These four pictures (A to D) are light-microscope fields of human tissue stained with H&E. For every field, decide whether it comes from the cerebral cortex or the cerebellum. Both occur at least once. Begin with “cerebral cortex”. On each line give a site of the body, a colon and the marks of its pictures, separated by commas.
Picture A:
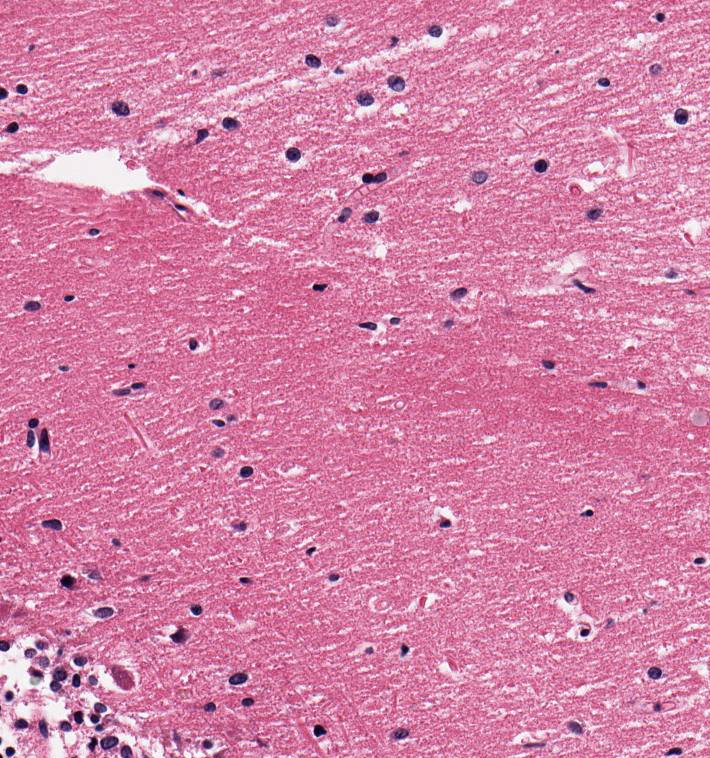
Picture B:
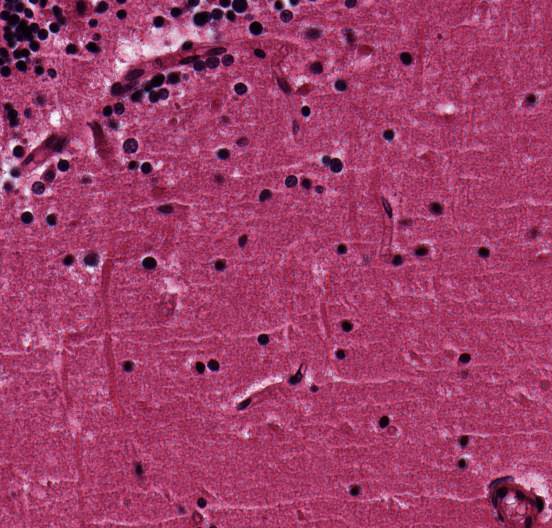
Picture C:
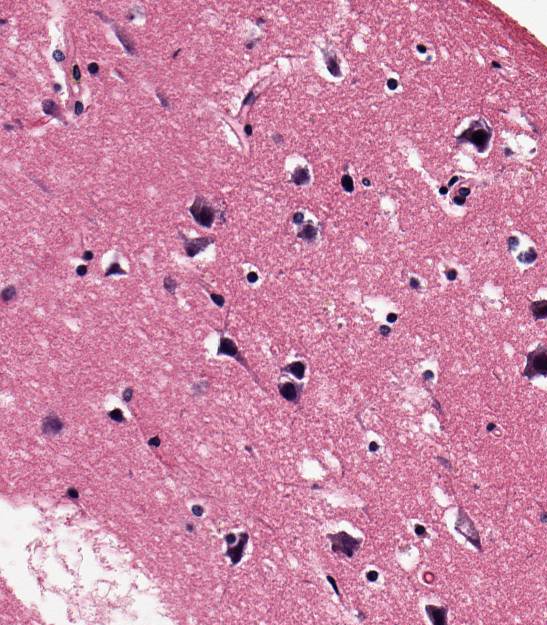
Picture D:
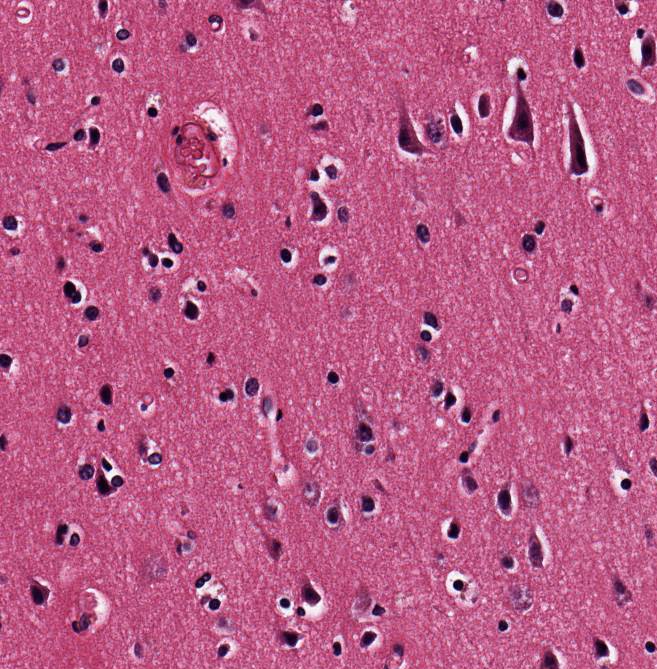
cerebral cortex: C, D
cerebellum: A, B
